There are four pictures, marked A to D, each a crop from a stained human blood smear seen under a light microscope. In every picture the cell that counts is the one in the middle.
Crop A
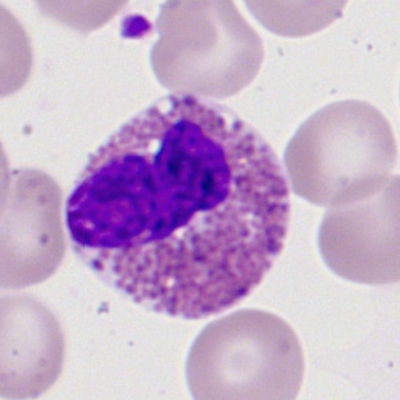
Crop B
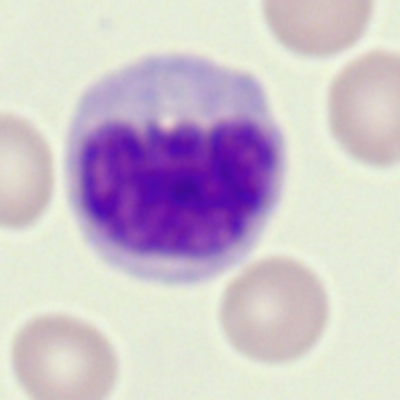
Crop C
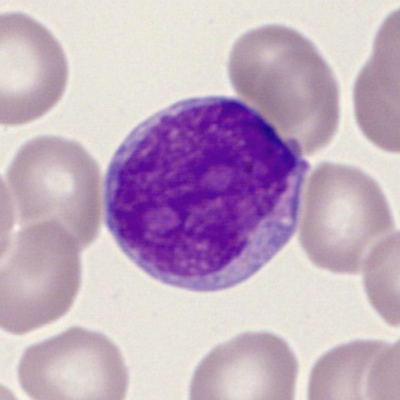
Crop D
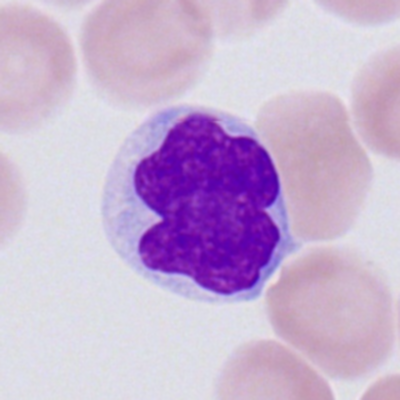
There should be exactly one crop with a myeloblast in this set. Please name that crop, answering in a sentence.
Crop C is the crop containing a myeloblast.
